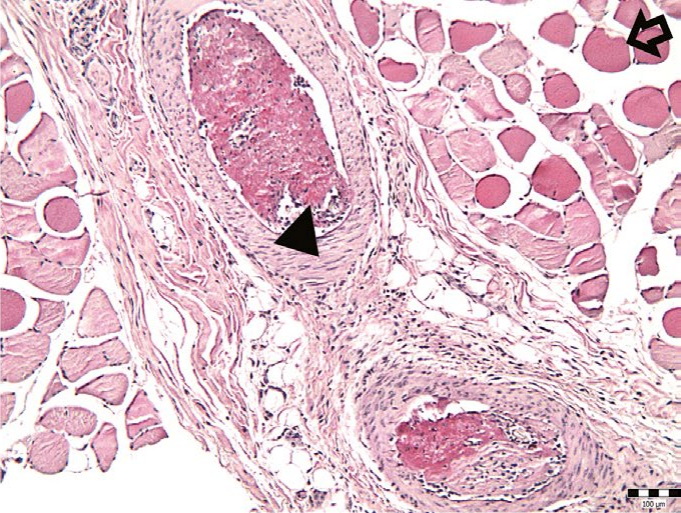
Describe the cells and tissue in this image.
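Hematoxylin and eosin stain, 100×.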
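This lower-power view shows skeletal muscle cut across, with loose connective tissue, some fat cells and two thick-walled blood vessels running between the muscle bundles. The vessels have broad, layered walls and their lumens are packed with pink material. Many of the surrounding muscle fibers look abnormal: they are rounded, swollen and uniformly deep pink, with few or no visible nuclei, and they lie apart from one another with clear spaces between them, unlike the angular, tightly packed fibers of healthy muscle. Other fibers appear paler and more irregular in outline.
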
